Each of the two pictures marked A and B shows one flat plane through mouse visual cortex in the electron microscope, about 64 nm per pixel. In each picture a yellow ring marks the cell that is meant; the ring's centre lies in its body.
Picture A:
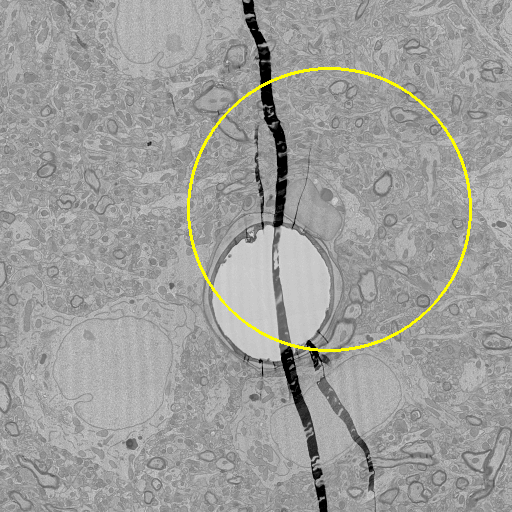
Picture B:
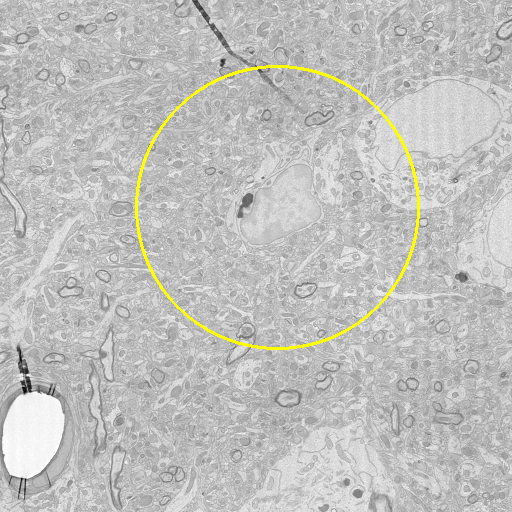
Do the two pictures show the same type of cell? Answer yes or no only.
yes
